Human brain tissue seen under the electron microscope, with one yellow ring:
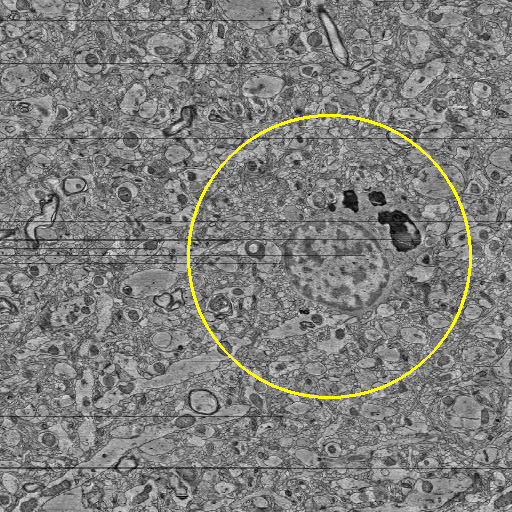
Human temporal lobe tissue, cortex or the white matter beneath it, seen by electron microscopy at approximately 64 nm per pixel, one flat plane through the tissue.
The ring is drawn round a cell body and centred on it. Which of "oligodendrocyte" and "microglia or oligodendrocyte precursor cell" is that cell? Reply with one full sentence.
The picture shows an oligodendrocyte at the very centre of the yellow ring.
